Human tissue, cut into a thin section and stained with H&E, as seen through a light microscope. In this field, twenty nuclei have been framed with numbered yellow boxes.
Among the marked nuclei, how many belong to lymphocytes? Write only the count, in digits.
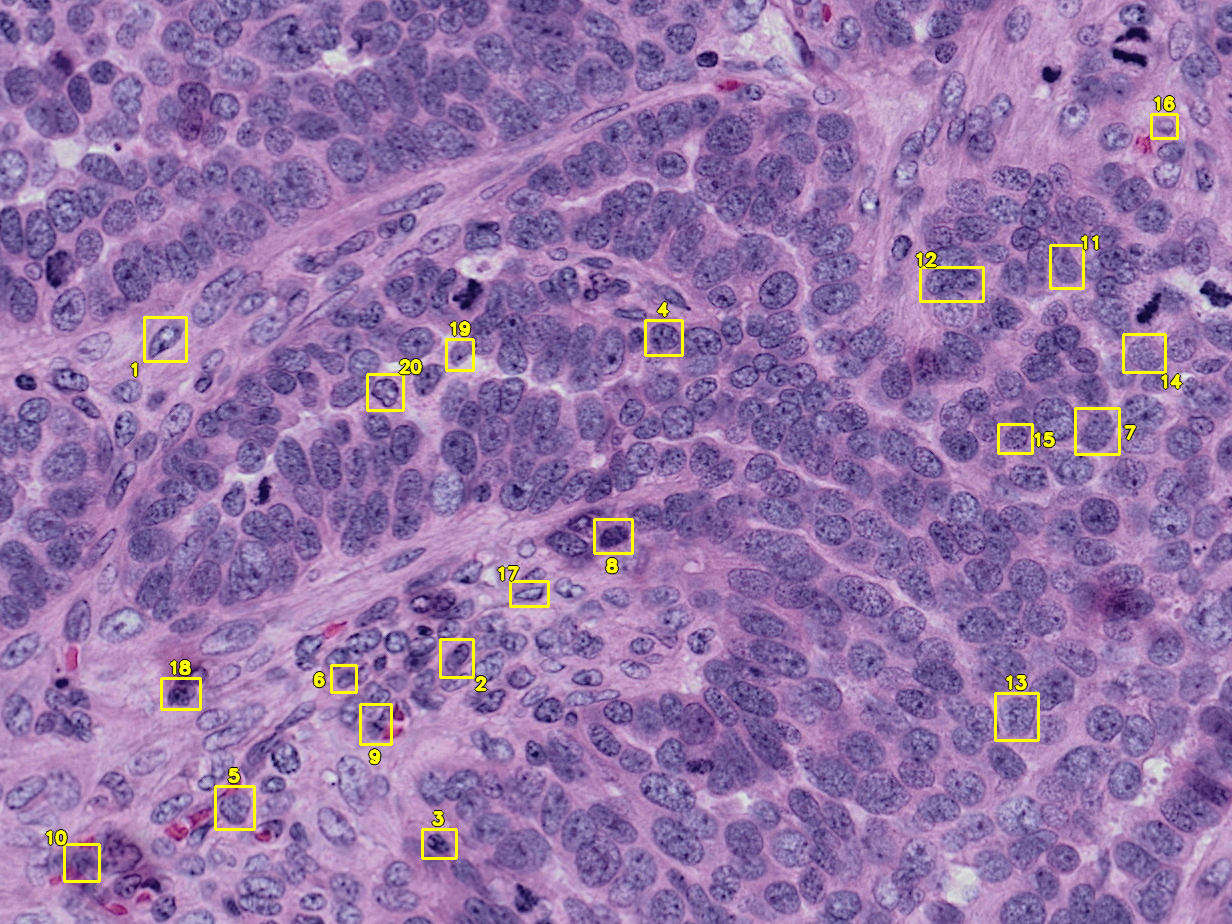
2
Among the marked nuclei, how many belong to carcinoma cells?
8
